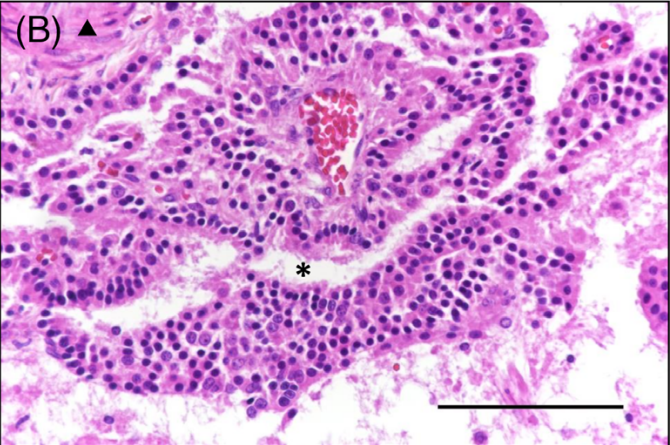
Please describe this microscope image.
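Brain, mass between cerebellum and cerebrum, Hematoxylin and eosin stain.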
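Crowded round to columnar cells are arranged in fronds and cords around a central thin-walled vessel filled with red blood cells. Narrow clear clefts separate the fronds.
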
